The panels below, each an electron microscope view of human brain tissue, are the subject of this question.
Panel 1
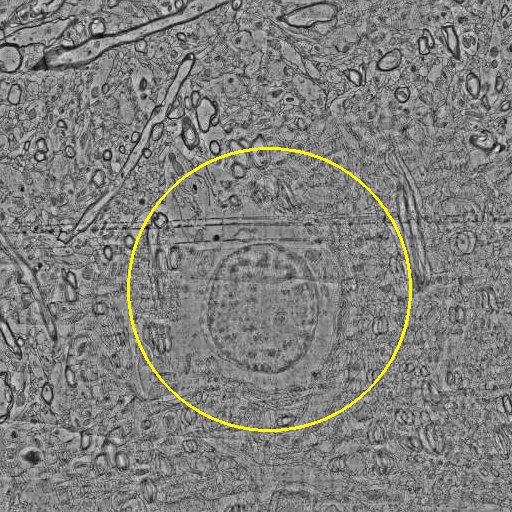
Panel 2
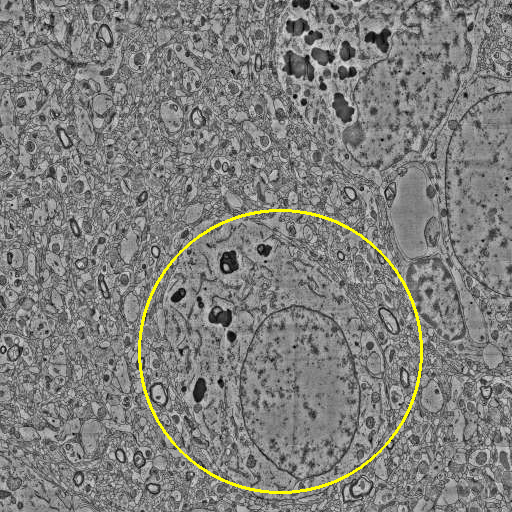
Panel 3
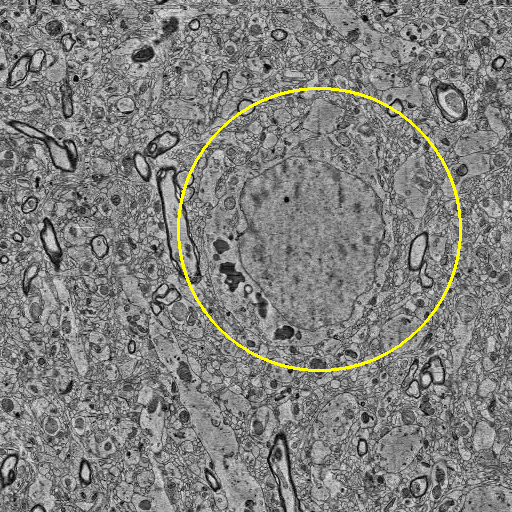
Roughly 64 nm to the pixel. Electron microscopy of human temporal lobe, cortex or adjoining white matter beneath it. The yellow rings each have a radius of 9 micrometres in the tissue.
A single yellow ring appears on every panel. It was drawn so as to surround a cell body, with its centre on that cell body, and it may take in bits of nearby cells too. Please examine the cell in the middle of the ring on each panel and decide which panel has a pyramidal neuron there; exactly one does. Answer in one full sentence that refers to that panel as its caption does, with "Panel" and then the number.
Panel 2 is where the ring's central cell answers the question.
